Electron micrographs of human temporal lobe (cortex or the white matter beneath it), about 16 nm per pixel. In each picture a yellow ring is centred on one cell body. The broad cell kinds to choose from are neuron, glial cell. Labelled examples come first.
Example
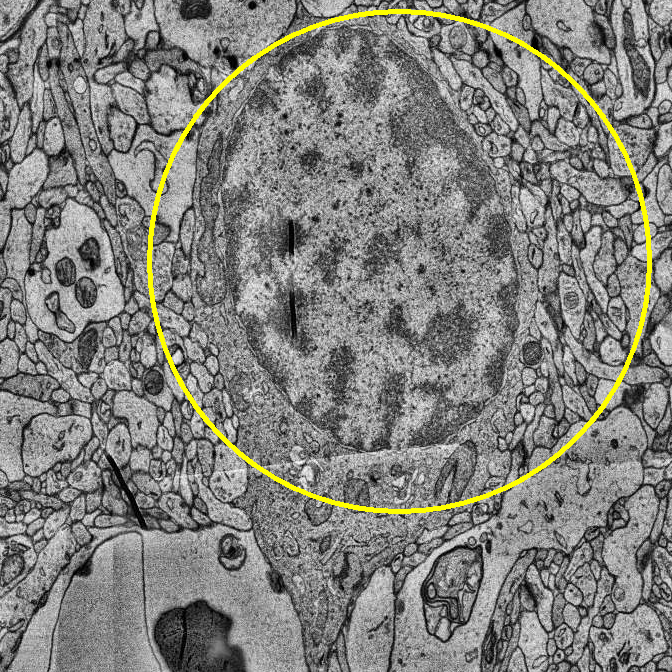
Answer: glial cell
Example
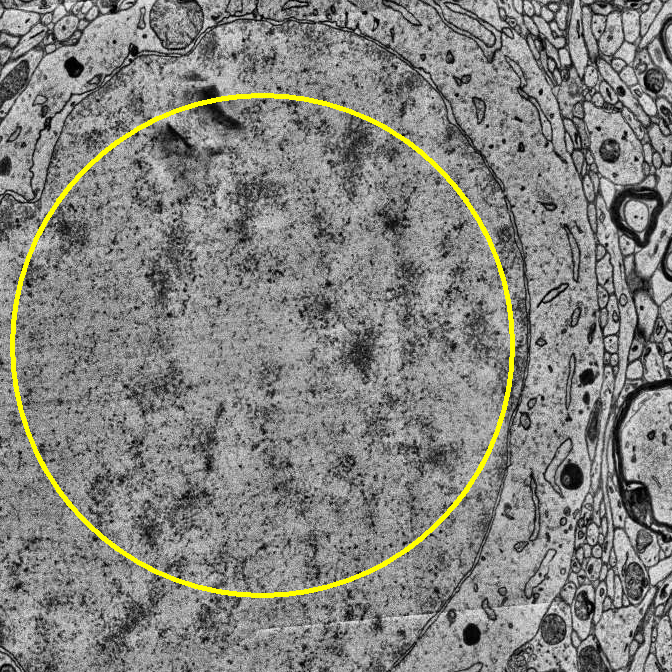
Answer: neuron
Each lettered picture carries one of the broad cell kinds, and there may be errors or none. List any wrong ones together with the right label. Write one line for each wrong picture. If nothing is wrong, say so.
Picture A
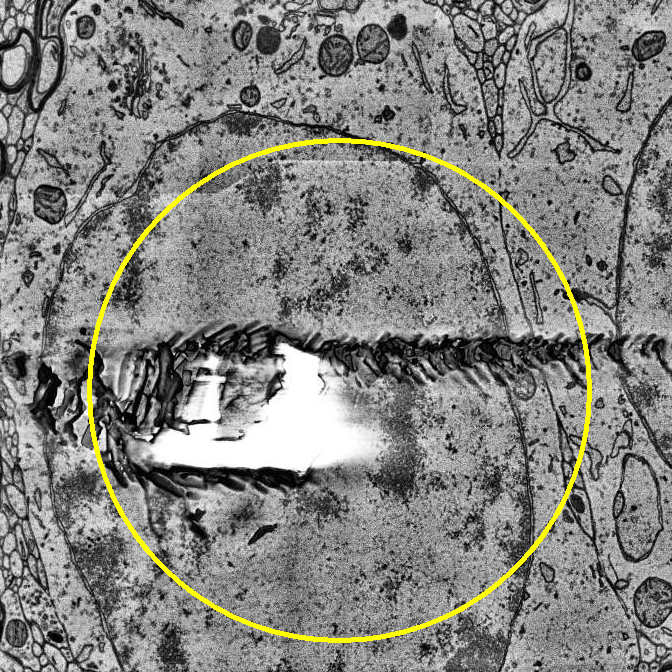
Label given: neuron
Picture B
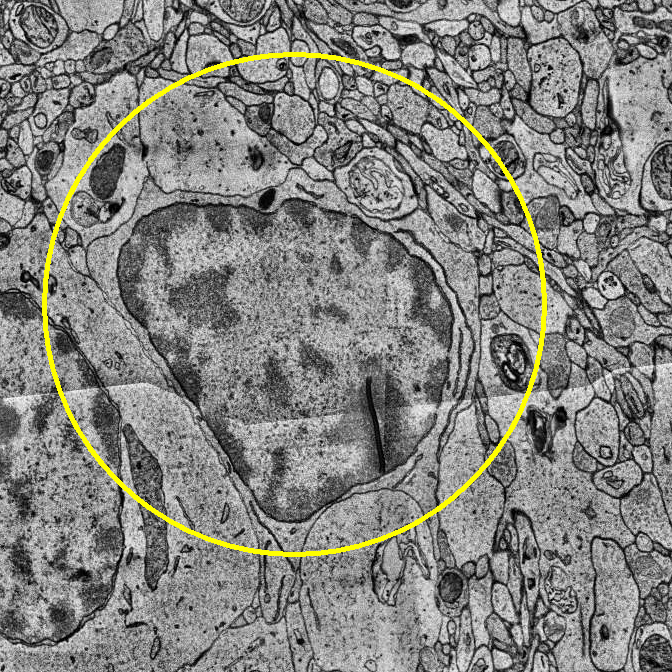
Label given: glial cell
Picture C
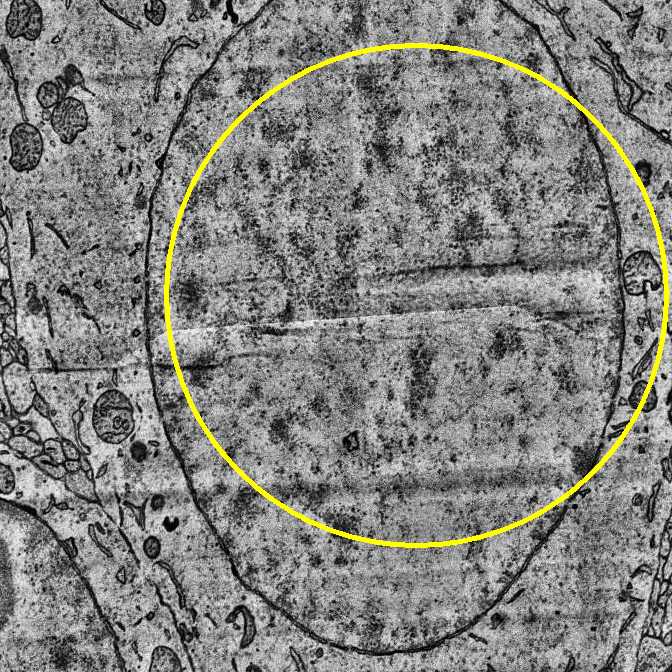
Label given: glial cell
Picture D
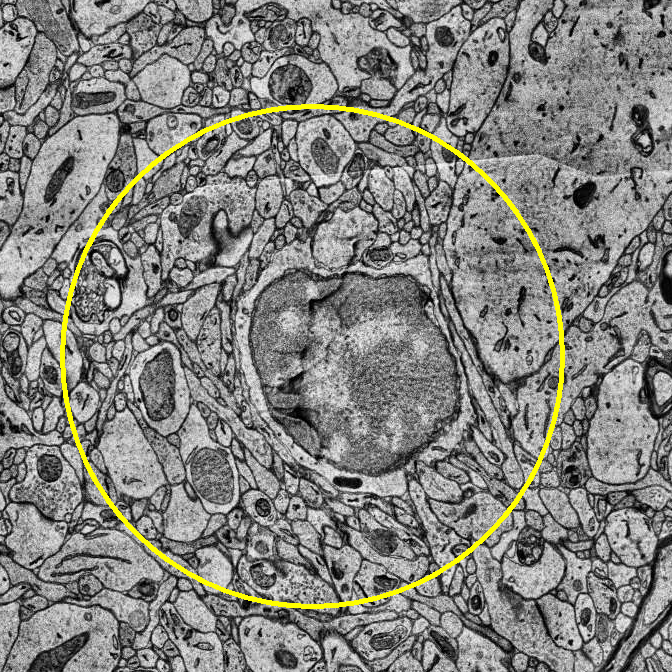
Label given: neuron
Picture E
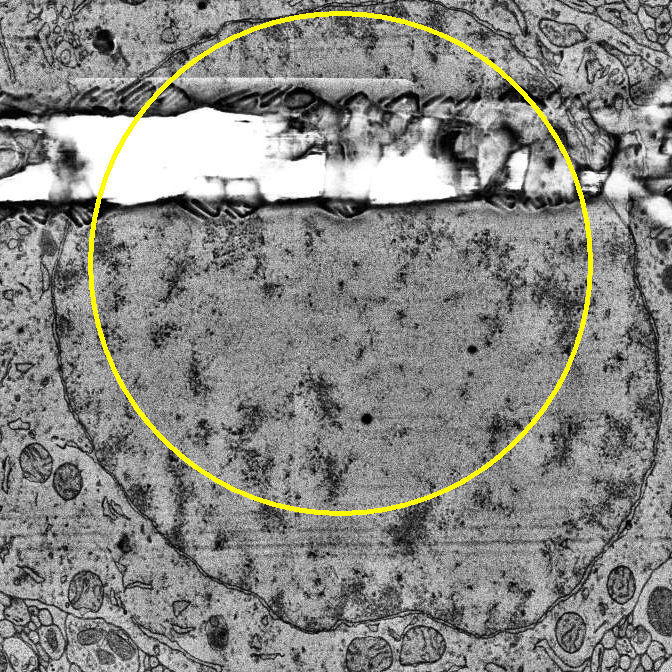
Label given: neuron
Wrong: C (glial cell); correct: neuron
Wrong: D (neuron); correct: glial cell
